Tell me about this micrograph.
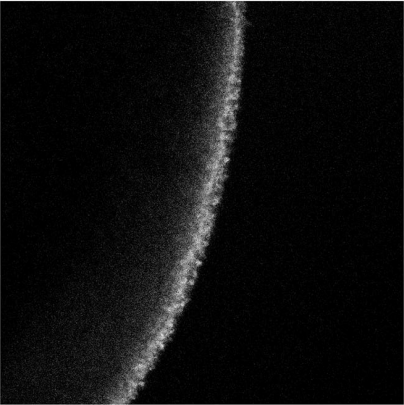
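A narrow, bright white band follows the smooth arc of the cell's outer edge, marking its surface. On the inner side of the band the cytoplasm shows only a faint, fine-grained speckle, while the outer side, beyond the cell, is uniformly dark. The band is of fairly even width along its length and appears slightly beaded or granular. No nuclei or other individual cells are visible in the field.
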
